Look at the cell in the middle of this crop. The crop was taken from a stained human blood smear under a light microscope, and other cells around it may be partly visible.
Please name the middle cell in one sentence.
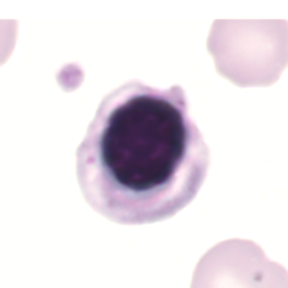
Here the centrally located cell is an erythroblast.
